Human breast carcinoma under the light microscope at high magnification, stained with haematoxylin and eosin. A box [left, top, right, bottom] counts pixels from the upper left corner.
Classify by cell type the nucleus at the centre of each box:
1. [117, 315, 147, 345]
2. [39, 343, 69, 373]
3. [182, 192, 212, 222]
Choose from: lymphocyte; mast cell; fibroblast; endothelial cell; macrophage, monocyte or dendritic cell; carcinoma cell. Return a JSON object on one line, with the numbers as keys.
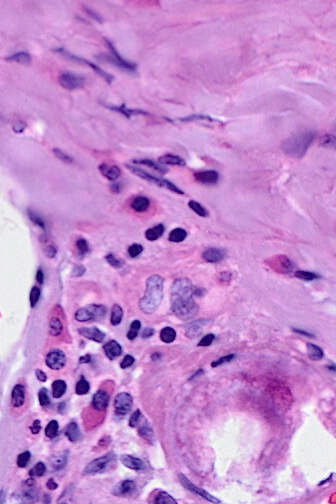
{"1": "lymphocyte", "2": "mast cell", "3": "lymphocyte"}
